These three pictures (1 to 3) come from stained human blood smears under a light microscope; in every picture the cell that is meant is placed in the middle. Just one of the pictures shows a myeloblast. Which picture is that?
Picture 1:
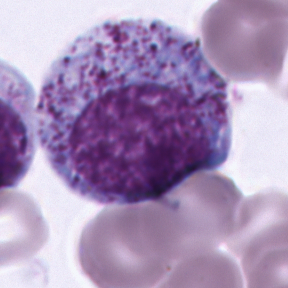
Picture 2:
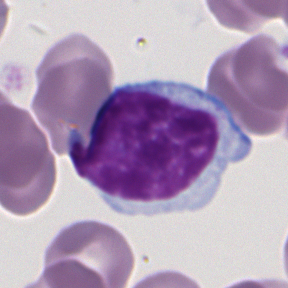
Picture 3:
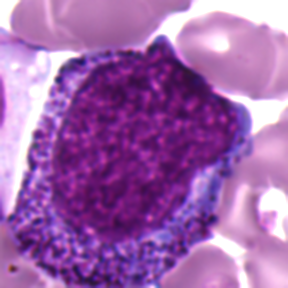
2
